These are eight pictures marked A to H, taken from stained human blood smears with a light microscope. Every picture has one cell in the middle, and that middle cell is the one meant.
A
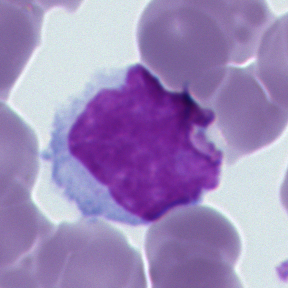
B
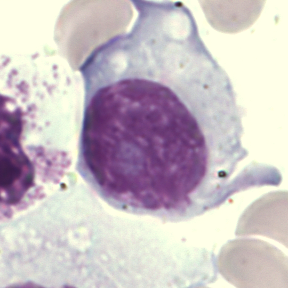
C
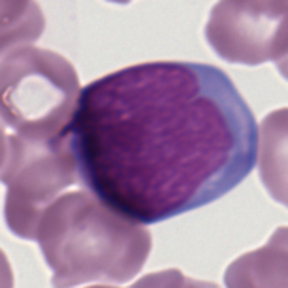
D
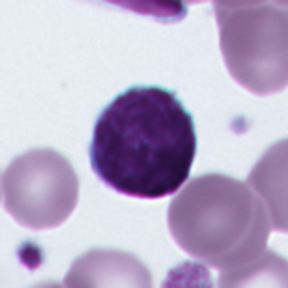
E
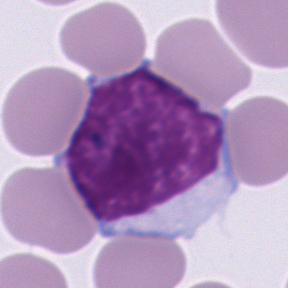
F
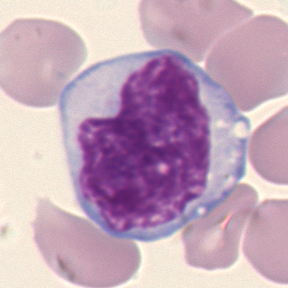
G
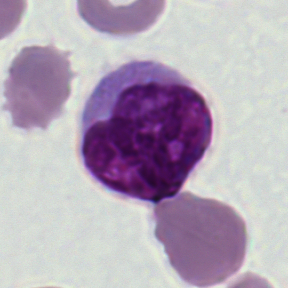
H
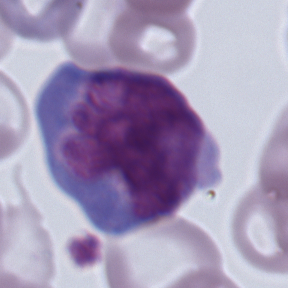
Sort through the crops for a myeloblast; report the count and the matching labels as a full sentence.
The myeloblasts turn up in three crops: C, F and H.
